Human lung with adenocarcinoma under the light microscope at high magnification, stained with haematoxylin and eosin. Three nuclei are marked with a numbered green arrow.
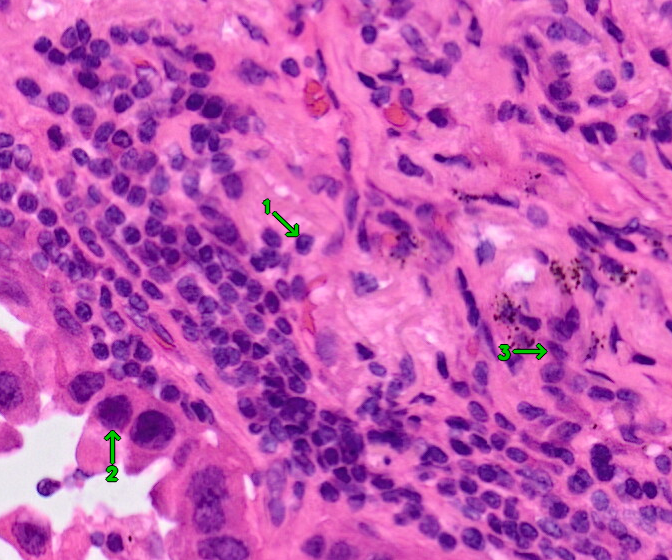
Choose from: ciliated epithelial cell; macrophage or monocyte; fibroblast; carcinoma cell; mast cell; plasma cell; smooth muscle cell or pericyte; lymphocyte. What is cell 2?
carcinoma cell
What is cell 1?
lymphocyte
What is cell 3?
plasma cell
